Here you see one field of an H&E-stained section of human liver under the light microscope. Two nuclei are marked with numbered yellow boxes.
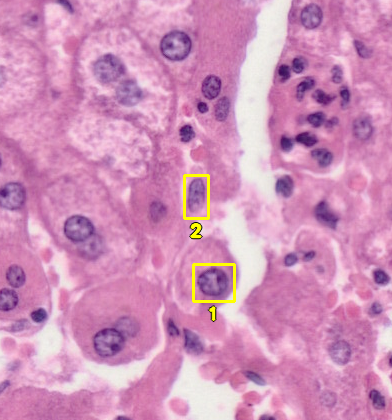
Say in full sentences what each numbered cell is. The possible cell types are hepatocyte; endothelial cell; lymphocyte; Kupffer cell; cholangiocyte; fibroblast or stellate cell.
Cell 1 is a hepatocyte and cell 2 is a Kupffer cell.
